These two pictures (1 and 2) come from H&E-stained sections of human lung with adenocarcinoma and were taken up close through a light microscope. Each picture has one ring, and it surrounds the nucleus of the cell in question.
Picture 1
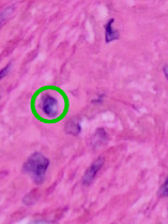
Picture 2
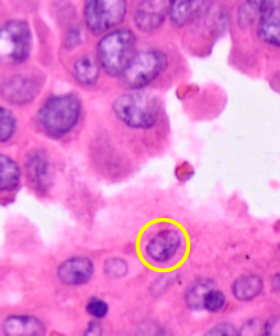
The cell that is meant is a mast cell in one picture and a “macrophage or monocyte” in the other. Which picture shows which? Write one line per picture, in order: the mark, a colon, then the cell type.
1: mast cell
2: macrophage or monocyte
